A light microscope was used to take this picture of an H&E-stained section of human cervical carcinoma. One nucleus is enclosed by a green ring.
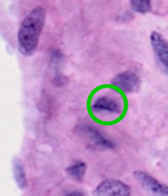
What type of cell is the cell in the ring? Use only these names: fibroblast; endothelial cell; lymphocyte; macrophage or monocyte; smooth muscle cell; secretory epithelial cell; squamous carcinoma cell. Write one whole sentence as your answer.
In the context of this tissue, the cell in the ring is a fibroblast.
